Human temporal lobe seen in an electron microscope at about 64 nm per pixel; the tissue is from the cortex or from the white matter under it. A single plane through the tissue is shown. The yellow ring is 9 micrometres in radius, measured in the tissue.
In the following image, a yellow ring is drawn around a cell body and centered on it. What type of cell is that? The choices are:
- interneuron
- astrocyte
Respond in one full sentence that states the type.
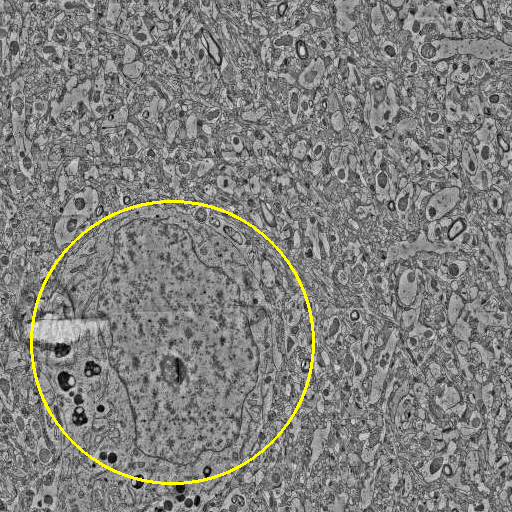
The cell at the center of the yellow ring in the image is an interneuron.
